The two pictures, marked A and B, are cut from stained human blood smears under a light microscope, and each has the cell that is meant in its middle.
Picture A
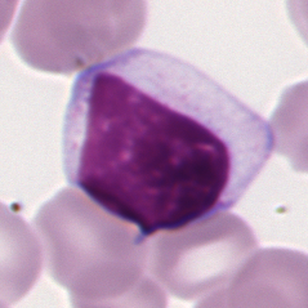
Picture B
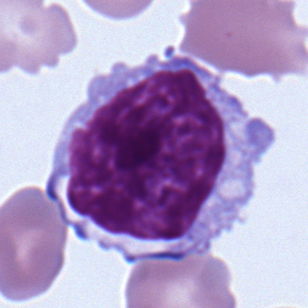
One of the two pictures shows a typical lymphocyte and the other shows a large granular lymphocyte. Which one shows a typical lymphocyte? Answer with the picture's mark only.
B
